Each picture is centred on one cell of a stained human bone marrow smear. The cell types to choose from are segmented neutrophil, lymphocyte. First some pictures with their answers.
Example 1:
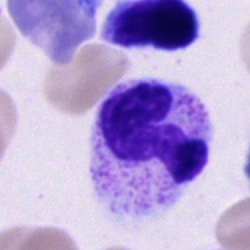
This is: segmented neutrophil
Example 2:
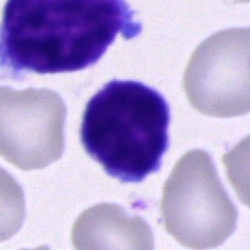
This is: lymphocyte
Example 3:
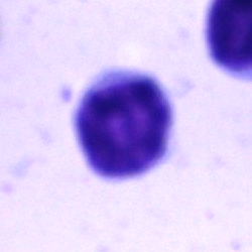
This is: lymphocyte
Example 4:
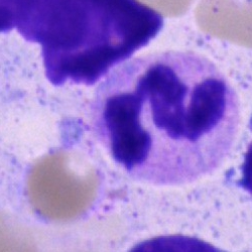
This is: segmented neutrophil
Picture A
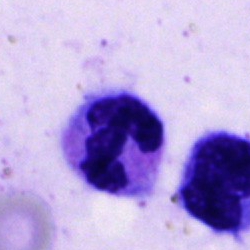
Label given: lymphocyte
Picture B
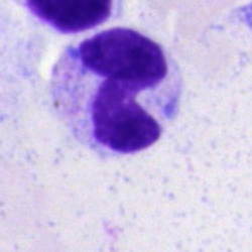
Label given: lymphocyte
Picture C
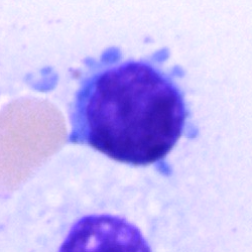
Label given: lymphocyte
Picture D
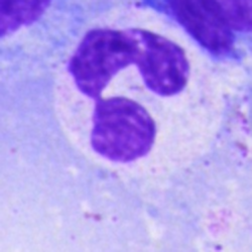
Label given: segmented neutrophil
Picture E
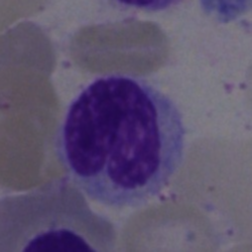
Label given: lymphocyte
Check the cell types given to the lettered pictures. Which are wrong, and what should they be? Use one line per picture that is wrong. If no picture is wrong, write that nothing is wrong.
A: not lymphocyte but segmented neutrophil
B: not lymphocyte but segmented neutrophil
